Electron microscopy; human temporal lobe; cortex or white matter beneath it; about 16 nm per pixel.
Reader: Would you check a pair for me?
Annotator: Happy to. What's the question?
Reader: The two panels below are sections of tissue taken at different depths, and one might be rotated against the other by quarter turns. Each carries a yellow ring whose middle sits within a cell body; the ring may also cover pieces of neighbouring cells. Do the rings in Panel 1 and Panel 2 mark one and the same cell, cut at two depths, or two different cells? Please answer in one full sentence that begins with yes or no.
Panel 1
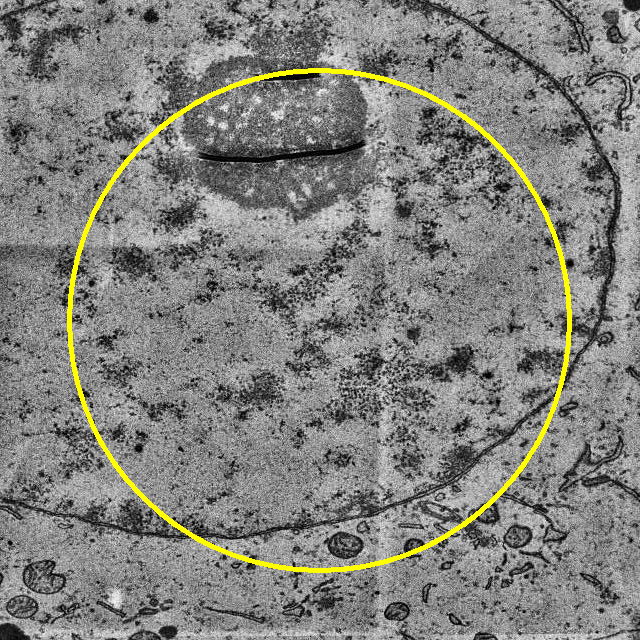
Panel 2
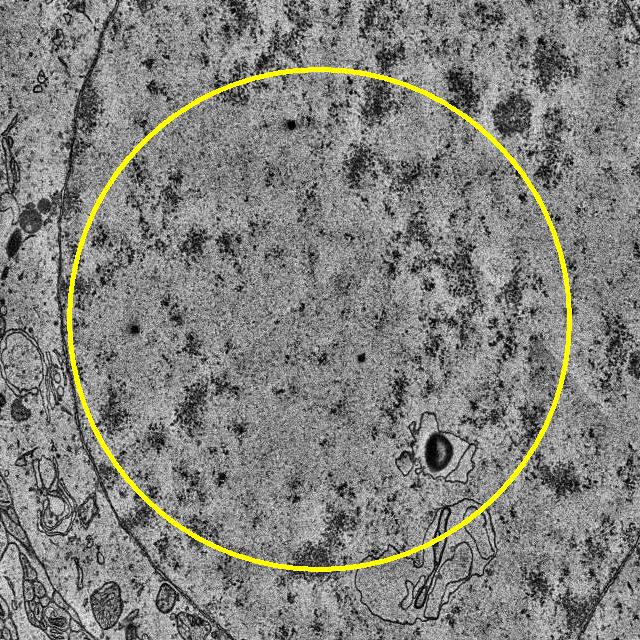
Yes, both rings are placed on a single cell.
